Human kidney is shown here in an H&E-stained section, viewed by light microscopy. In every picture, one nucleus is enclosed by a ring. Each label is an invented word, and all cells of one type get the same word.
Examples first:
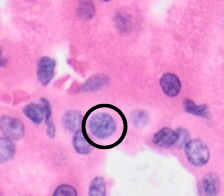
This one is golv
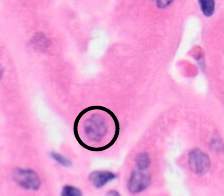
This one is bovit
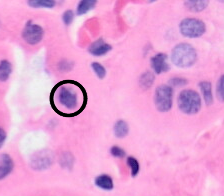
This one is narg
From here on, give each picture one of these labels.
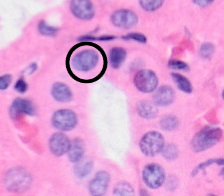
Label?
golv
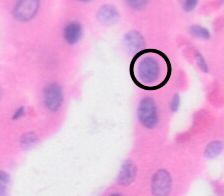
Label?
narg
